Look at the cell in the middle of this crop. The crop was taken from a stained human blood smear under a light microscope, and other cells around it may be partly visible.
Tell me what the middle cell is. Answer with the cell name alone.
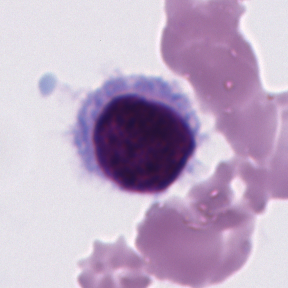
hairy cell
